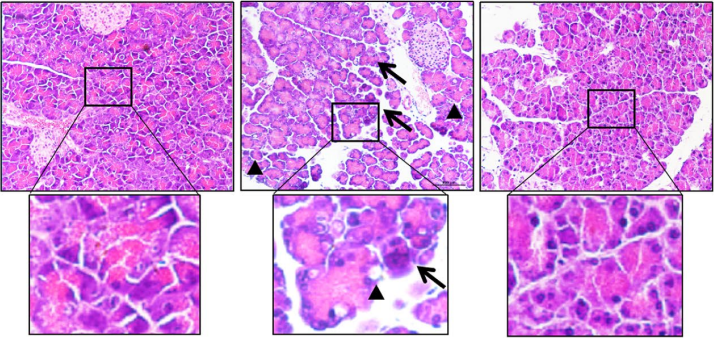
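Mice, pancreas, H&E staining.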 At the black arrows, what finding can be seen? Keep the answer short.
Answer: Cell necrosis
